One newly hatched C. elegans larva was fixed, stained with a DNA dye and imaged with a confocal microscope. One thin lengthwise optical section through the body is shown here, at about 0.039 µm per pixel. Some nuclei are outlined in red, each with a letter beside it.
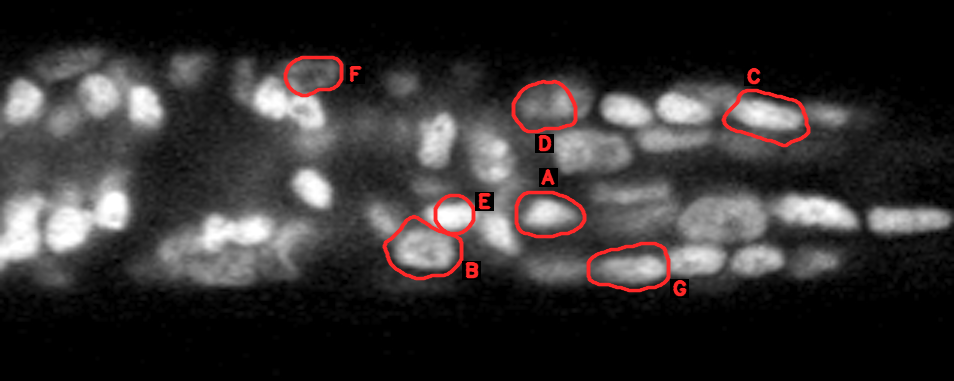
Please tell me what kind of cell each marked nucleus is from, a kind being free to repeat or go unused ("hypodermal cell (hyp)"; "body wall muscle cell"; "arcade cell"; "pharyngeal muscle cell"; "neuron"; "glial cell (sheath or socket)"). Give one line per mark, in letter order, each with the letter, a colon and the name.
A: neuron
B: pharyngeal muscle cell
C: arcade cell
D: body wall muscle cell
E: neuron
F: hypodermal cell (hyp)
G: glial cell (sheath or socket)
